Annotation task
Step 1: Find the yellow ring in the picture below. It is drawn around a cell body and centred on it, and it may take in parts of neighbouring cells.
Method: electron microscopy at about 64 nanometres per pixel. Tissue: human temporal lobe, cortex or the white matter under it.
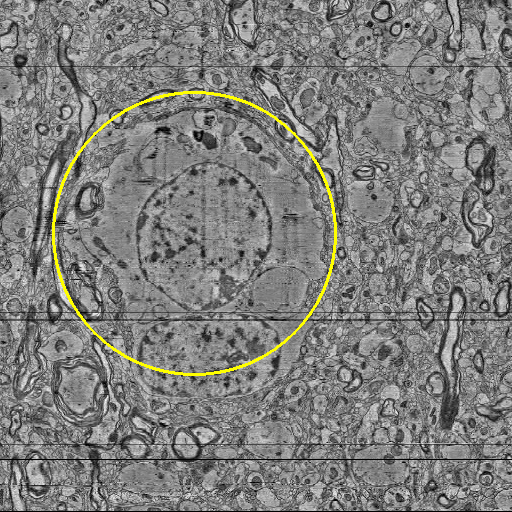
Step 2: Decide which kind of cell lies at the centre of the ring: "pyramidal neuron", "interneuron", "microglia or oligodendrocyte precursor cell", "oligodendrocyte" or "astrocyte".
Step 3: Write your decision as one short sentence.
The kind of cell at the ring's centre is an astrocyte.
